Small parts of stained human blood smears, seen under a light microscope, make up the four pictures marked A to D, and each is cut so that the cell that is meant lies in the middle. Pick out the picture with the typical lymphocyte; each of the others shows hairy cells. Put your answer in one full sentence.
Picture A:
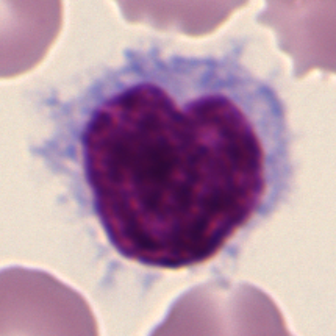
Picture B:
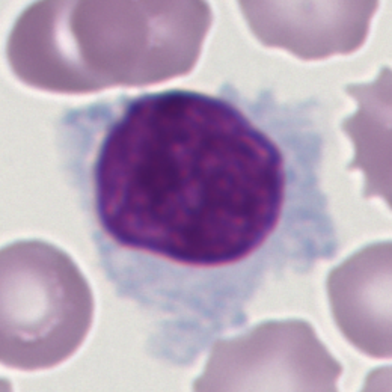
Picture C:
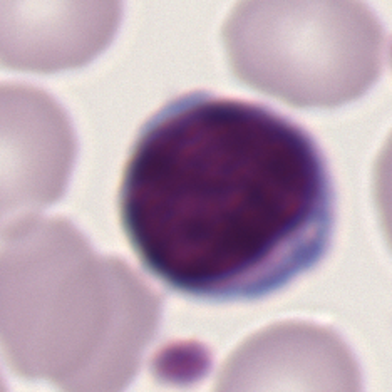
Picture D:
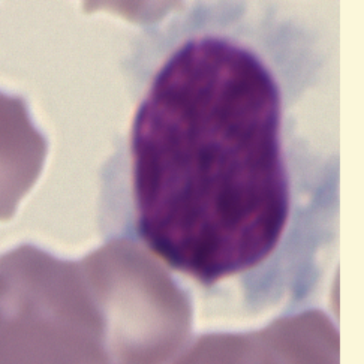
Picture C is the one that shows the typical lymphocyte.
